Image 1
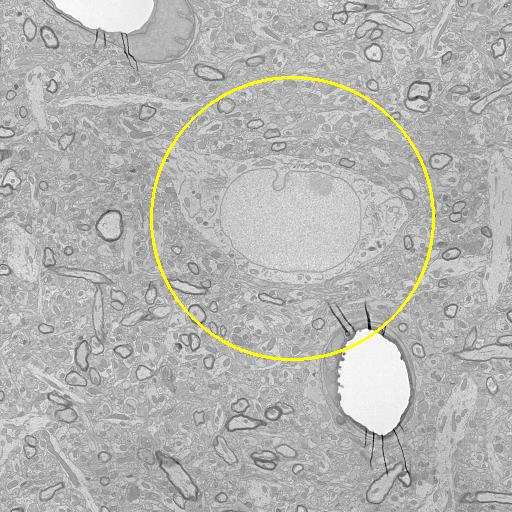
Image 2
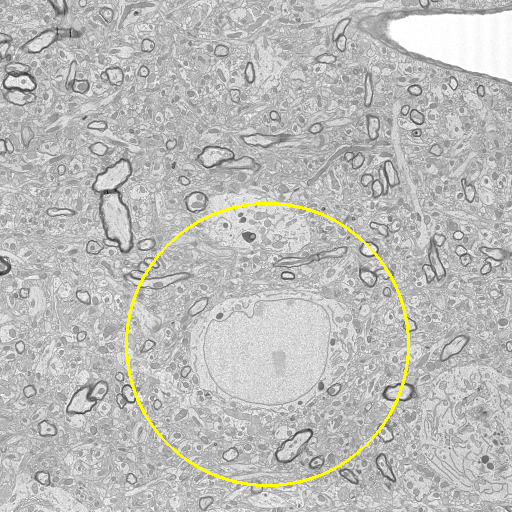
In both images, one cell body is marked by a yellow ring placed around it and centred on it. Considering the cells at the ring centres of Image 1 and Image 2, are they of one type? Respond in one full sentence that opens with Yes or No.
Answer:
Yes, a single type applies to the ring-centred cells of both Image 1 and Image 2.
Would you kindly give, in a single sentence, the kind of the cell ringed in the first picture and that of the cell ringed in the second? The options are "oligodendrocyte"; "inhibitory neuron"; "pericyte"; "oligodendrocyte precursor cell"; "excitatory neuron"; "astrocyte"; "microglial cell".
Each of the two cells is an excitatory neuron.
